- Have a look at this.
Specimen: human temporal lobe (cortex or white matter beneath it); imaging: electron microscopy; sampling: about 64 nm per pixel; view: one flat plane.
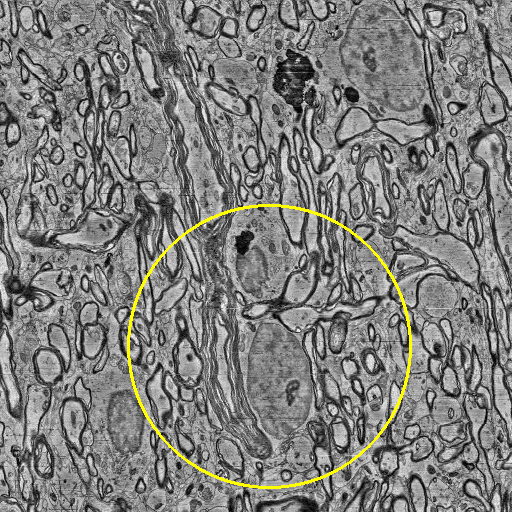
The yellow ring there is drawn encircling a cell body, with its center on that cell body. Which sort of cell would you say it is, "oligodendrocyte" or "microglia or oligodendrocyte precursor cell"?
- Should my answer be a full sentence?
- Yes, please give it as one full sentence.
For this picture, an oligodendrocyte is the cell where the yellow ring has its center.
